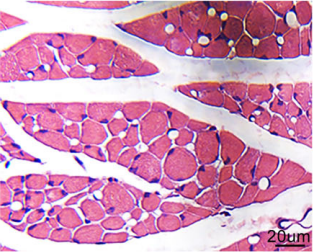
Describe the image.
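Cross-section of skeletal muscle with muscle fibers grouped into bundles separated by pale, loose connective tissue septa. The fibers stain pink and are polygonal to rounded, varying considerably in size, with many small rounded fibers among larger ones. Dark purple nuclei lie at the periphery of the fibers, some appearing crowded between small fibers. Clear rounded spaces are seen among fibers near the top of the field.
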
